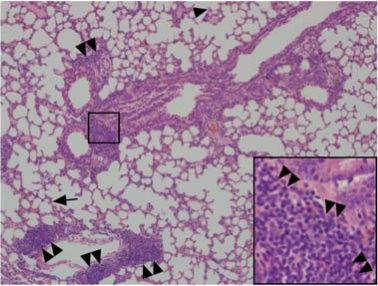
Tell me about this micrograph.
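Lung tissue with mostly open, thin-walled alveoli, and dense purple collections of cells gathered around airways and blood vessels. The inset shows these collections as tightly packed small round cells with dark round nuclei and scant cytoplasm, consistent with lymphocytes.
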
